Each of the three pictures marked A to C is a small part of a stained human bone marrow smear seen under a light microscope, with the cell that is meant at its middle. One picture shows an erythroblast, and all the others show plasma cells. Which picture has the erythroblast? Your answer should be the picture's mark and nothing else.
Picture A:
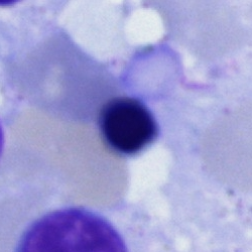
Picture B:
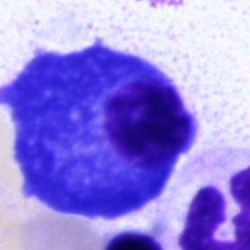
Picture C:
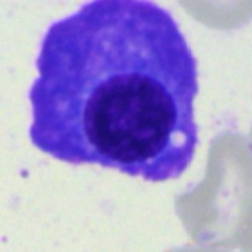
A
